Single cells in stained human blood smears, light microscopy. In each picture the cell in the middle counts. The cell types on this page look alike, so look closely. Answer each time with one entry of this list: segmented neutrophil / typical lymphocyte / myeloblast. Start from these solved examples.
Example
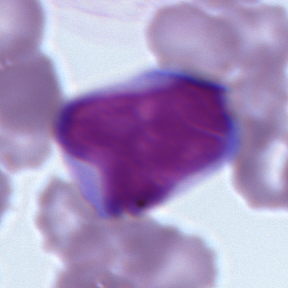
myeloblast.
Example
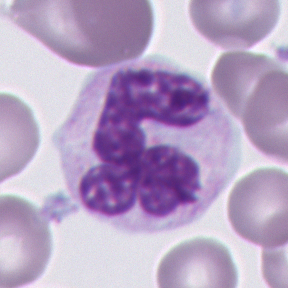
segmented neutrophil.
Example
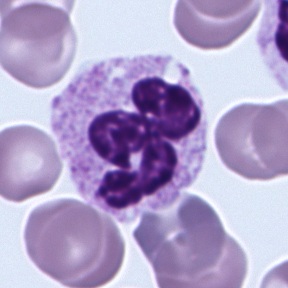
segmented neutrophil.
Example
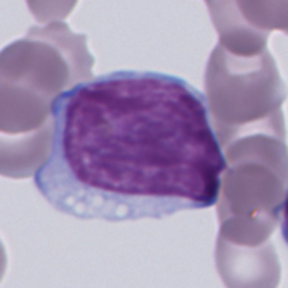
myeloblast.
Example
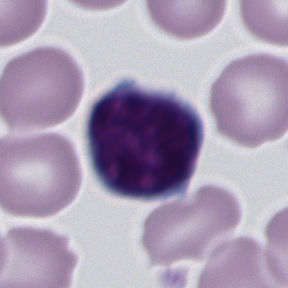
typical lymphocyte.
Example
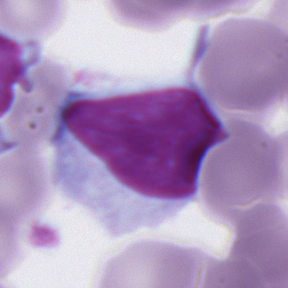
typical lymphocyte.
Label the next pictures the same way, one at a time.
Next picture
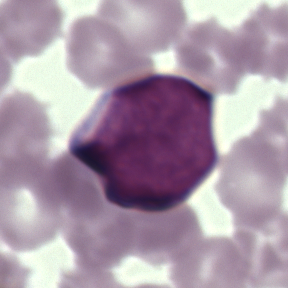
myeloblast.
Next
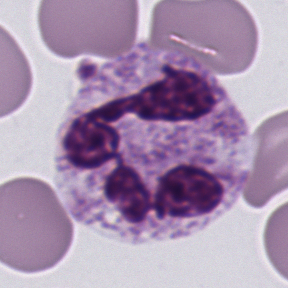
segmented neutrophil.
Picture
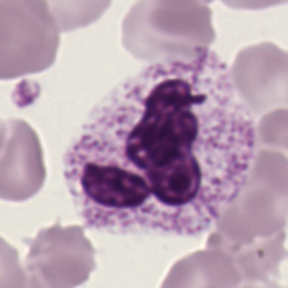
segmented neutrophil.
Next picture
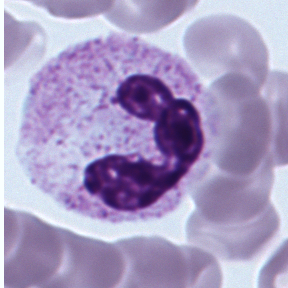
segmented neutrophil.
